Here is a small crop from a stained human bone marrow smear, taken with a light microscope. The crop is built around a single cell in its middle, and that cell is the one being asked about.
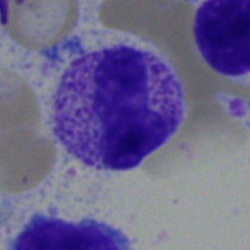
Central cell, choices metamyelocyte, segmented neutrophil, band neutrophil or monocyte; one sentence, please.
In this crop, the cell at the very middle is a metamyelocyte.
